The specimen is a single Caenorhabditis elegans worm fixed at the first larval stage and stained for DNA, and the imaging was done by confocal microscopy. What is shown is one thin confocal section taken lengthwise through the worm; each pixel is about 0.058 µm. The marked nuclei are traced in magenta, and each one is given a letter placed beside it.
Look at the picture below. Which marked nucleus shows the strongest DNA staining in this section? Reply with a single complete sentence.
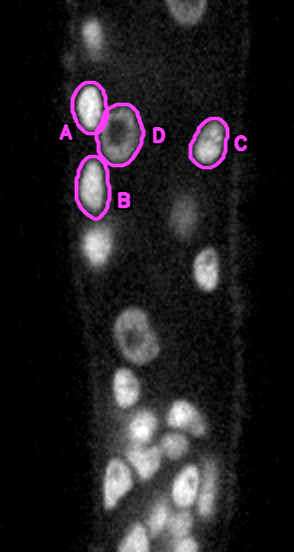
A is stained most strongly in this section.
